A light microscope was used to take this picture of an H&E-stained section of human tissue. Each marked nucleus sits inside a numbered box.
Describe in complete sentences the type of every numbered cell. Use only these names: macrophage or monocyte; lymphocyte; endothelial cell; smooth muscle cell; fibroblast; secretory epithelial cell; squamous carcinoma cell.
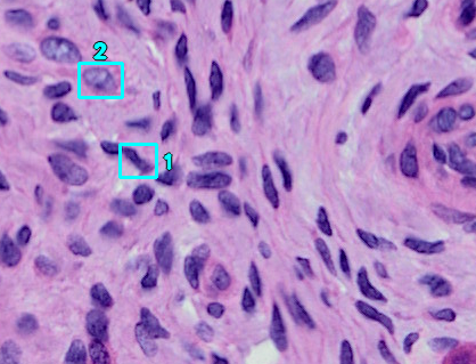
Cell 1 is a fibroblast. Cell 2 is an endothelial cell.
